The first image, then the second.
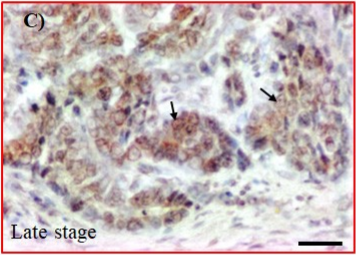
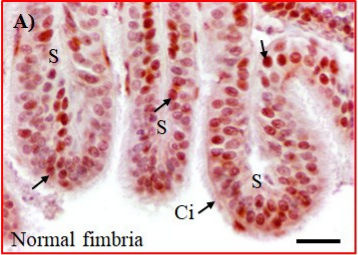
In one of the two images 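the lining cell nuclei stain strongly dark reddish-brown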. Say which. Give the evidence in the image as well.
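Second image: the nuclei of the cells lining the folds are deep reddish-brown.
Conclusion: the second image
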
